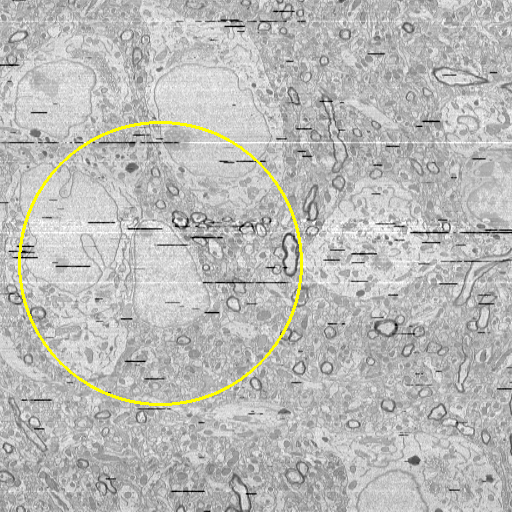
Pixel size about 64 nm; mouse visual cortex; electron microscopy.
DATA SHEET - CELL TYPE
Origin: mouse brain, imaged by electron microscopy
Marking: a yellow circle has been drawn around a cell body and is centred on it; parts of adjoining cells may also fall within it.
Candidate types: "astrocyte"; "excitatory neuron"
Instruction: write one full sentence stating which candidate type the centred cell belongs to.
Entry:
The cell body at the centre of the yellow ring in this micrograph belongs to an astrocyte.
